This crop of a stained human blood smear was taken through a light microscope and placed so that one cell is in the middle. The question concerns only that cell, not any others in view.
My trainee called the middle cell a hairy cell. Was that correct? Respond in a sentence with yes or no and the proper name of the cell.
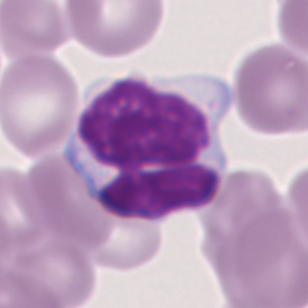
No, calling it a hairy cell is wrong; the middle cell is a large granular lymphocyte.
